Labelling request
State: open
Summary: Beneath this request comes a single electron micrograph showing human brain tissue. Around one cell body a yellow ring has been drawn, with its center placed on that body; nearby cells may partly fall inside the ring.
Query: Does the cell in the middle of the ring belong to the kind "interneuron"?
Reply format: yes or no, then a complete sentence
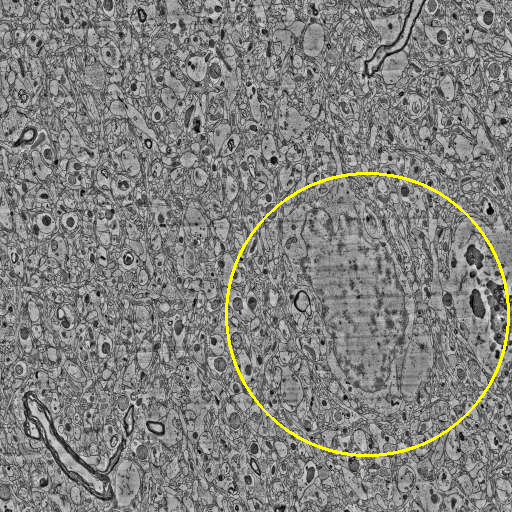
Yes, the cell sitting at the center of the ring in this picture is of that kind.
